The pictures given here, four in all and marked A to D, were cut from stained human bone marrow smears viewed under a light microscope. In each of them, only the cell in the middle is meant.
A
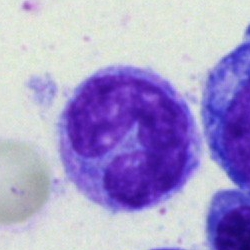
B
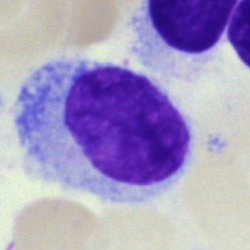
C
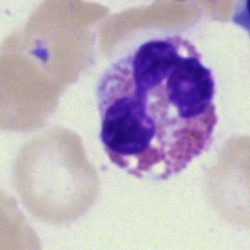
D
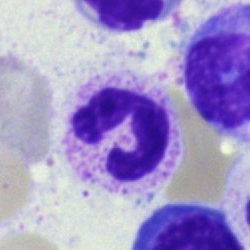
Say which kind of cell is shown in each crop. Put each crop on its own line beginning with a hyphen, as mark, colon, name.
- A: monocyte
- B: hairy cell
- C: eosinophil
- D: segmented neutrophil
